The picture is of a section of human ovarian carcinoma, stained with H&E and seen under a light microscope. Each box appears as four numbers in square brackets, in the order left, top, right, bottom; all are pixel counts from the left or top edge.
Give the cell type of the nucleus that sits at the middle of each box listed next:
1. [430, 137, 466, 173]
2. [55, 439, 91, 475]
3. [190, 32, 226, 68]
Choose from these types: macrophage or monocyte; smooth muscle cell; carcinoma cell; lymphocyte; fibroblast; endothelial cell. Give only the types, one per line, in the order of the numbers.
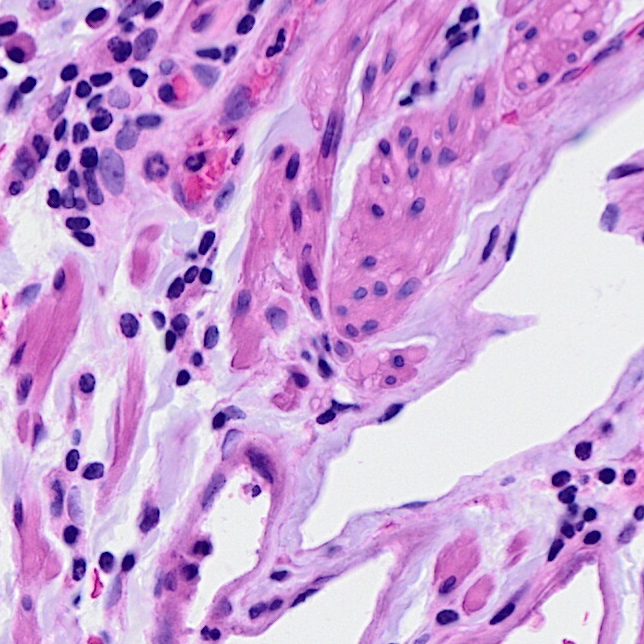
smooth muscle cell
lymphocyte
lymphocyte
